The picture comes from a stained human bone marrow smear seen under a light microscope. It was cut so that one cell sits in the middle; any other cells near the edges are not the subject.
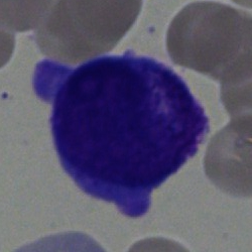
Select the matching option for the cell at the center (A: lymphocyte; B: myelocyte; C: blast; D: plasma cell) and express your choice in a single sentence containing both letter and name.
Option C is the right one, for the cell in the middle is a blast.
